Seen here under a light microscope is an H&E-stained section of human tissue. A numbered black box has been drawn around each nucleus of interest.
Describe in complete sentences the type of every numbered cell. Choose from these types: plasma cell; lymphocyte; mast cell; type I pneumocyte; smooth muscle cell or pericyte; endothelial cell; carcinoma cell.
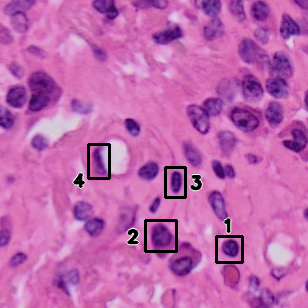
Cells 1 and 3 are lymphocytes. Cell 2 is a plasma cell. Cell 4 is an endothelial cell.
